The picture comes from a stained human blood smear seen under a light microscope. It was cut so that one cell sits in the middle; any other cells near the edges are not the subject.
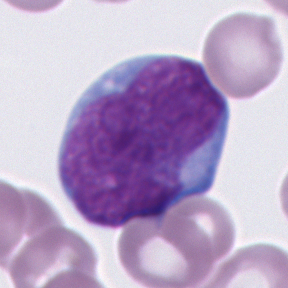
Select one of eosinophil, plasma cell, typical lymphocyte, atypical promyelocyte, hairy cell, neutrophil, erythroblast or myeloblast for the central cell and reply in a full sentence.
What sits at the centre of this crop is a myeloblast.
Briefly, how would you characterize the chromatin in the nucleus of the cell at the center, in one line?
The nuclear chromatin is fine, showing no coarse aggregates.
